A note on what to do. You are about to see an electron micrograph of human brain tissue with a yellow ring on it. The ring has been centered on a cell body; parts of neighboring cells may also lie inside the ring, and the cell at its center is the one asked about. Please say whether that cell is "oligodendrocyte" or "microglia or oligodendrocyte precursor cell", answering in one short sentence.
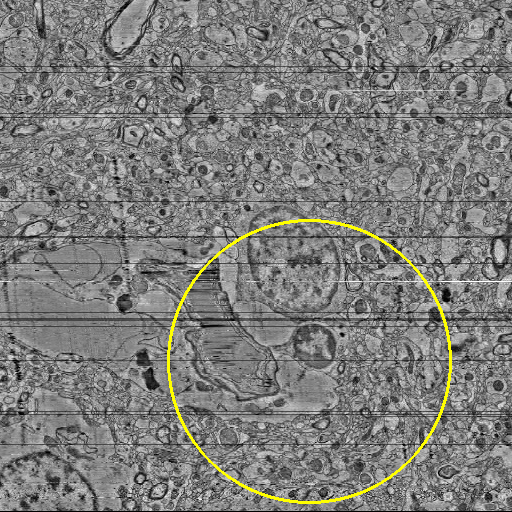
The yellow ring sits on a microglial cell or oligodendrocyte precursor cell.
